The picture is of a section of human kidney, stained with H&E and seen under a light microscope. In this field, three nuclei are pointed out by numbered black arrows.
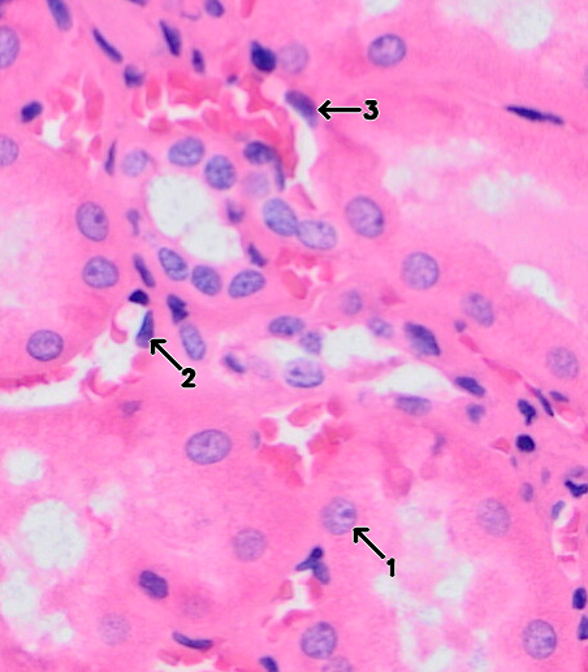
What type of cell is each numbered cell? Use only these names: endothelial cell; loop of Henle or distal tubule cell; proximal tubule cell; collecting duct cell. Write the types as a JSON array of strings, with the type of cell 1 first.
["proximal tubule cell", "endothelial cell", "endothelial cell"]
